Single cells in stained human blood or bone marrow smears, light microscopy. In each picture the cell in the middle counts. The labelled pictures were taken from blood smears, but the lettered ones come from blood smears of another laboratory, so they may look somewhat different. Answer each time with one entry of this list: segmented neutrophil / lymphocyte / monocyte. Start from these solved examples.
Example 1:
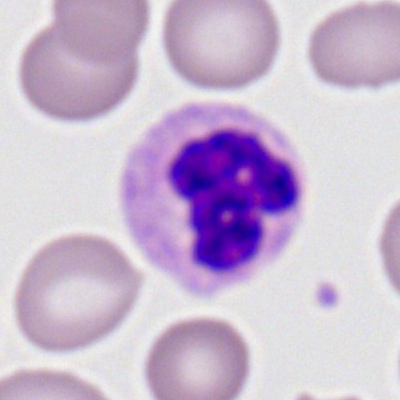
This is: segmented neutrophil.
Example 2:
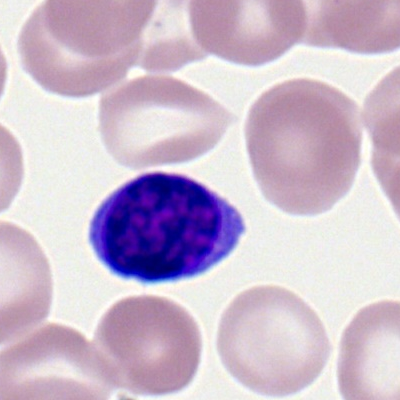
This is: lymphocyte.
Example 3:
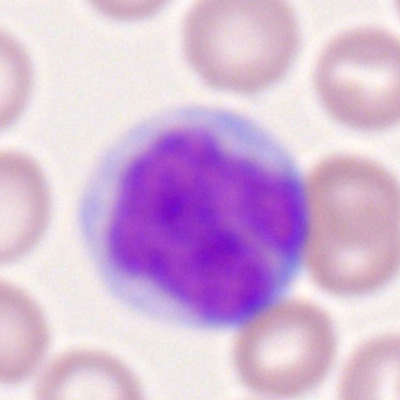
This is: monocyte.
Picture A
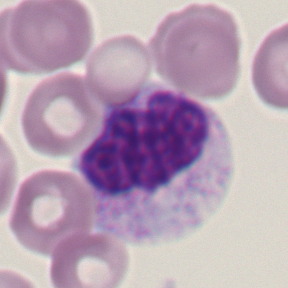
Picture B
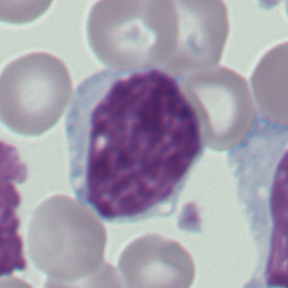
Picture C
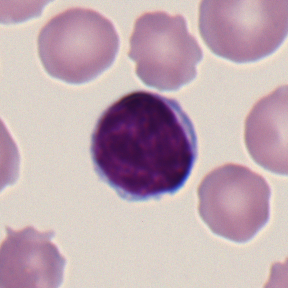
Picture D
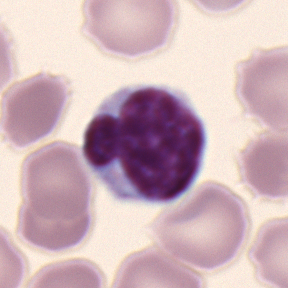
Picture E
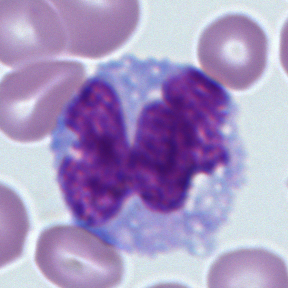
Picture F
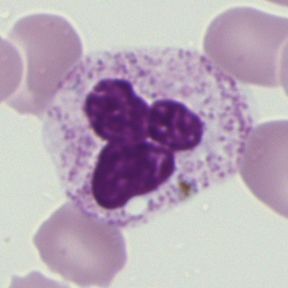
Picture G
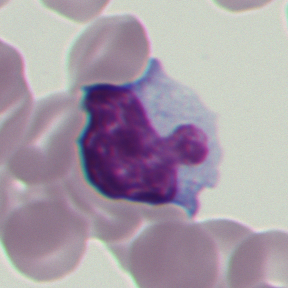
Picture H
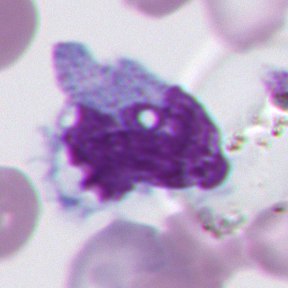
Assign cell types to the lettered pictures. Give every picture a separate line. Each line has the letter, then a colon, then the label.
A: segmented neutrophil.
B: lymphocyte.
C: lymphocyte.
D: lymphocyte.
E: monocyte.
F: segmented neutrophil.
G: lymphocyte.
H: monocyte.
